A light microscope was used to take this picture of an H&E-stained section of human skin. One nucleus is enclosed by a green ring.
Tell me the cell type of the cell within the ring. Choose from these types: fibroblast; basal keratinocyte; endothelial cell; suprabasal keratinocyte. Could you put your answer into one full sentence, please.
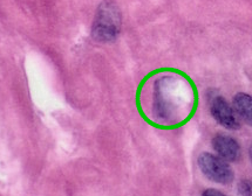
The expected answer is simply that the cell within the ring is a fibroblast.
